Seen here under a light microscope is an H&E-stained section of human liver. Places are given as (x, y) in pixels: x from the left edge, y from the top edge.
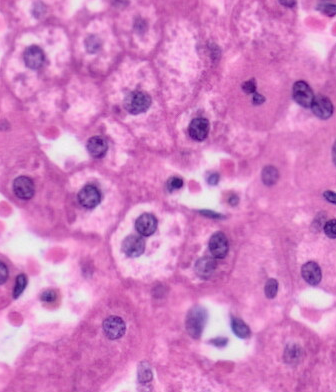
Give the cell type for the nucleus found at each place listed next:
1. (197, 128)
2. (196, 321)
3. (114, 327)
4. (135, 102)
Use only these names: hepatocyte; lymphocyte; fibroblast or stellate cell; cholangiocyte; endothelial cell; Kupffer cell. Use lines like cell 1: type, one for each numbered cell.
cell 1: hepatocyte
cell 2: endothelial cell
cell 3: hepatocyte
cell 4: hepatocyte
